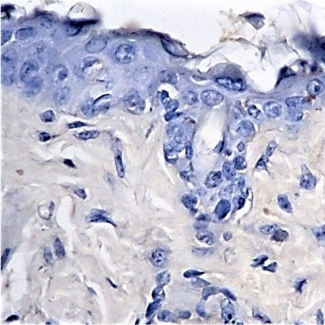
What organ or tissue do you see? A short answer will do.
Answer: Skin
